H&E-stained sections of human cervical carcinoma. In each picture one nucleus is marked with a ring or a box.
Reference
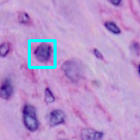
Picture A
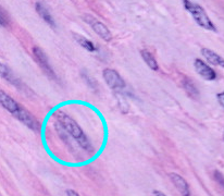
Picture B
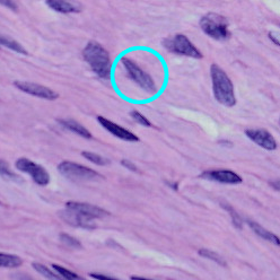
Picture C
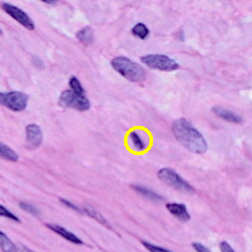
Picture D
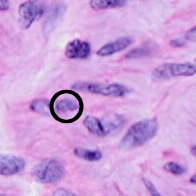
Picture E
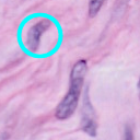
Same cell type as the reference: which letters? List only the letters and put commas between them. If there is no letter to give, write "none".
A, D, E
